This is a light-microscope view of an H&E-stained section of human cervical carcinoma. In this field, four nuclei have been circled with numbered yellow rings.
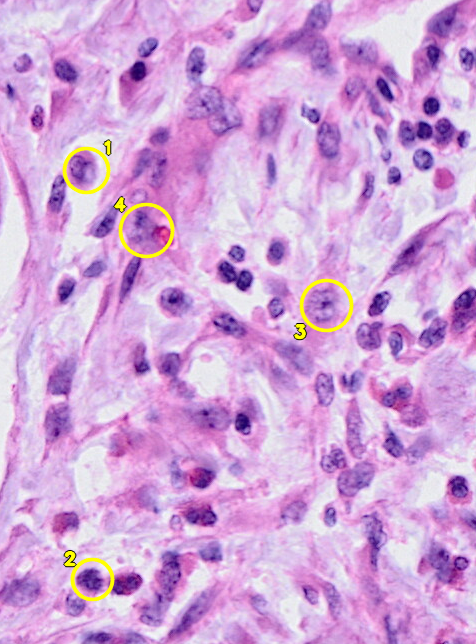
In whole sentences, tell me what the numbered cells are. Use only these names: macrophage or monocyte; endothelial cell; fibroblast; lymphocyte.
Cell 1 is a macrophage or monocyte. Cell 2 is a lymphocyte. Cells 3 and 4 are endothelial cells.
